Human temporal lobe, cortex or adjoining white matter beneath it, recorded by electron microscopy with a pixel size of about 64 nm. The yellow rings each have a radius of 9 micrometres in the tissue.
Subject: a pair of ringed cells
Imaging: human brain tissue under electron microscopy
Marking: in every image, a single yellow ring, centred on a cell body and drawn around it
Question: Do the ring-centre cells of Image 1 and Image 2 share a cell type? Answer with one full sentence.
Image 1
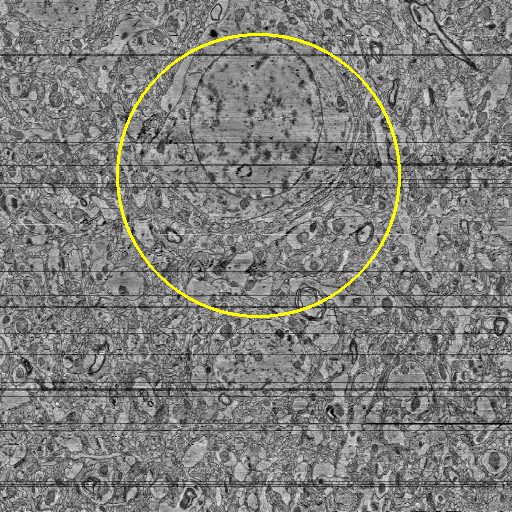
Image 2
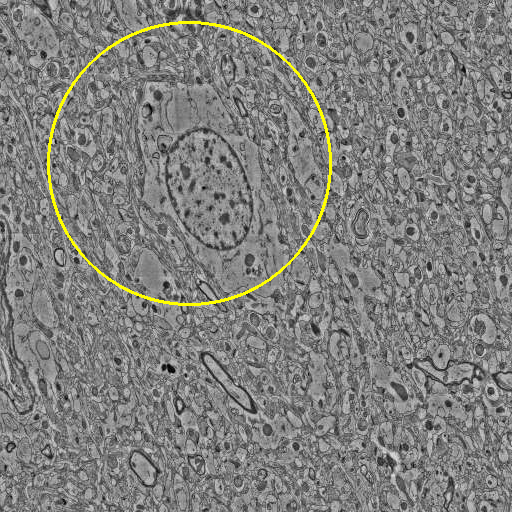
No, at the ring centres in the images sit cells of two separate types.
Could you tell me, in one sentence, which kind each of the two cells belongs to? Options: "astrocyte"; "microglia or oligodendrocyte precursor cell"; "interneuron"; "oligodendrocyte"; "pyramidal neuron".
At the centre of the first ring sits a pyramidal neuron, and at the centre of the second sits an astrocyte.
